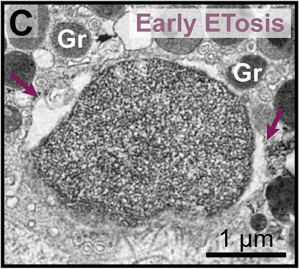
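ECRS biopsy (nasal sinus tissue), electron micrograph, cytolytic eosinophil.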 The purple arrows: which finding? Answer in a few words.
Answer: Enlargement of the perinuclear space.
